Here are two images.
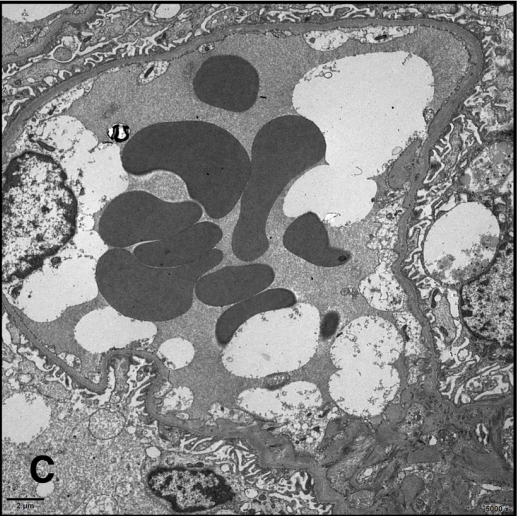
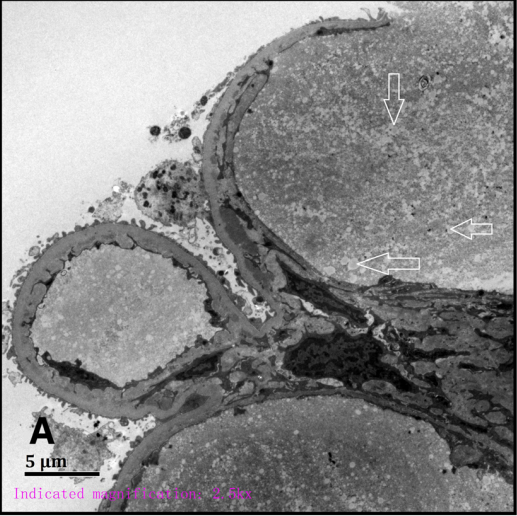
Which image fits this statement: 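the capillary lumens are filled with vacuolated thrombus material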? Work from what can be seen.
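First image: the capillary lumen is open and holds red blood cells among pale spaces. Second image: the capillary loops are filled entirely by homogeneous granular material speckled with small vacuoles. On this evidence: the second image.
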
